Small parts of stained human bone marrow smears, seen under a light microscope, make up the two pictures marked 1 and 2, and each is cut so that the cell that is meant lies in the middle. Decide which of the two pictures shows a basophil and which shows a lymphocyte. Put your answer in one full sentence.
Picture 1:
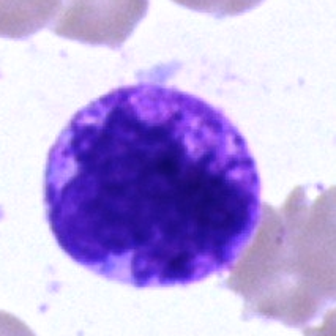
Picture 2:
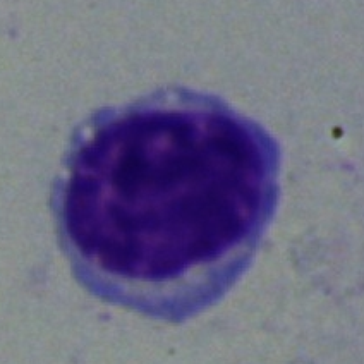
Picture 1 is of a basophil, and picture 2 is of a lymphocyte.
